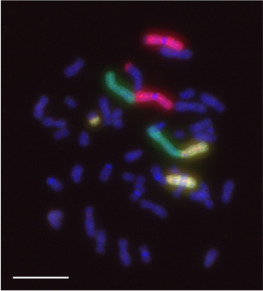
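Several chromosomes are painted in magenta, cyan and yellow. Unlike a normal spread, some painted chromosomes are made of two colours: a segment of one colour is joined end to end to a segment of another, as in a cyan chromosome carrying a yellow part and a magenta chromosome joined to a cyan part. Such two-coloured chromosomes indicate exchanges of material between different chromosomes, that is translocations, lying among otherwise single-coloured painted and unpainted chromosomes.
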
